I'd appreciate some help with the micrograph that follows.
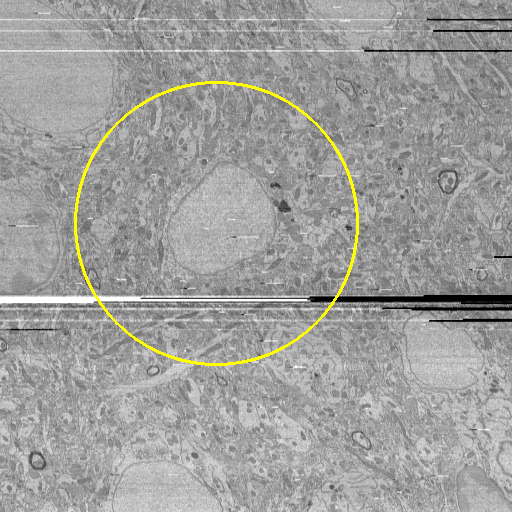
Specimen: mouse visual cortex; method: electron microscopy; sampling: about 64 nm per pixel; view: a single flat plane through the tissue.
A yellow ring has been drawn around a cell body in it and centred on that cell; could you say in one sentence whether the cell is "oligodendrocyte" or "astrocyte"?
It is an astrocyte at the centre of the ring.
